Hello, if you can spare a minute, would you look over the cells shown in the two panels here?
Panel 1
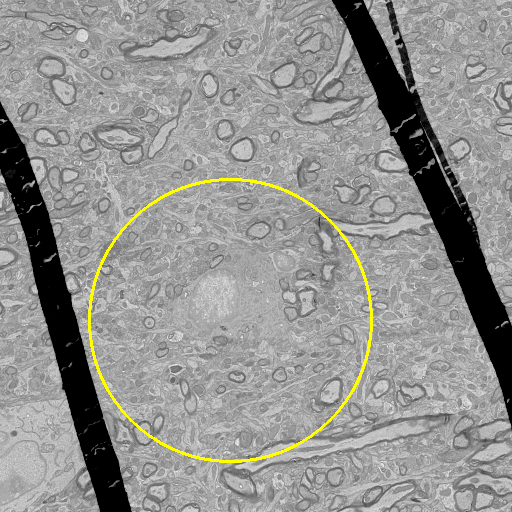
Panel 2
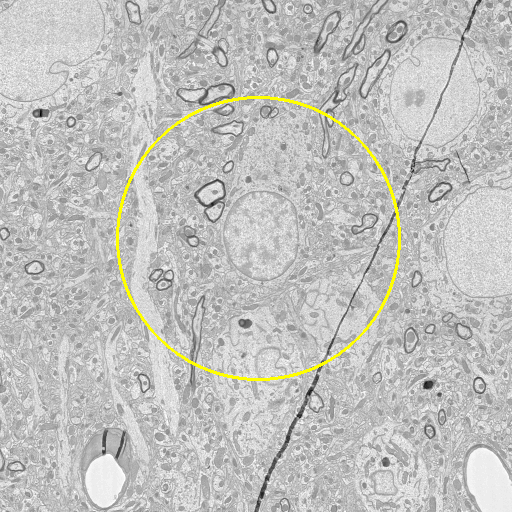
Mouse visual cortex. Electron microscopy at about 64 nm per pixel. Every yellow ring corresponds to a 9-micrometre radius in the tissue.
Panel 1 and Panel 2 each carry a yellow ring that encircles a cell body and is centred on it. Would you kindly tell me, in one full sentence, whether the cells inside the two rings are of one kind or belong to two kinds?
The cells at the centres of the rings in Panel 1 and Panel 2 are of one kind.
